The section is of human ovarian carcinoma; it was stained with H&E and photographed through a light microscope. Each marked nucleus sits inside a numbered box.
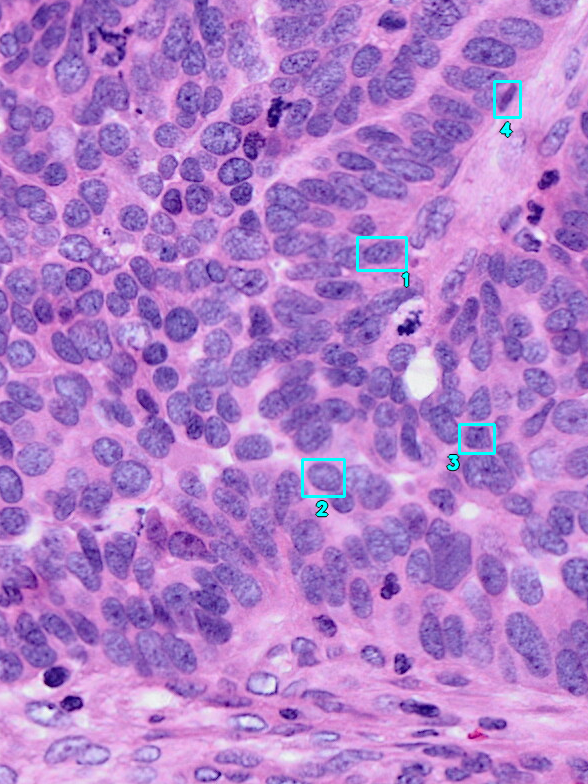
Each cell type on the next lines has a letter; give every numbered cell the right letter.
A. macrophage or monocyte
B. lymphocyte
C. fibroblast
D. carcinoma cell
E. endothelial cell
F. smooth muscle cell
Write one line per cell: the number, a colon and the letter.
1: D
2: D
3: D
4: C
